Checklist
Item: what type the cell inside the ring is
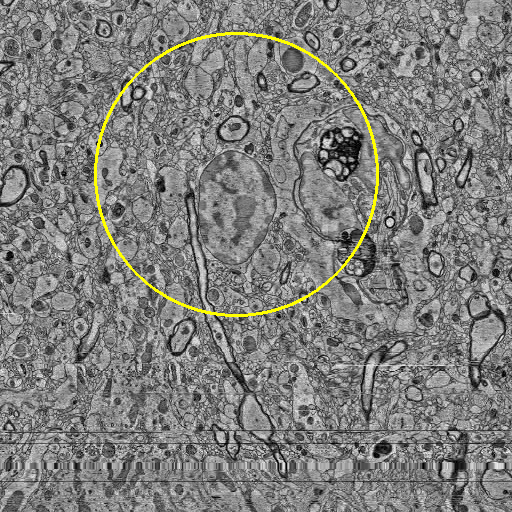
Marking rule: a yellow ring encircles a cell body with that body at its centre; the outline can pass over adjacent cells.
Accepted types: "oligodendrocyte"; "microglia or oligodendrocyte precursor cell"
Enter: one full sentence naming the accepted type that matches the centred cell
The entry is that a microglial cell or oligodendrocyte precursor cell lies at the centre of the yellow ring.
